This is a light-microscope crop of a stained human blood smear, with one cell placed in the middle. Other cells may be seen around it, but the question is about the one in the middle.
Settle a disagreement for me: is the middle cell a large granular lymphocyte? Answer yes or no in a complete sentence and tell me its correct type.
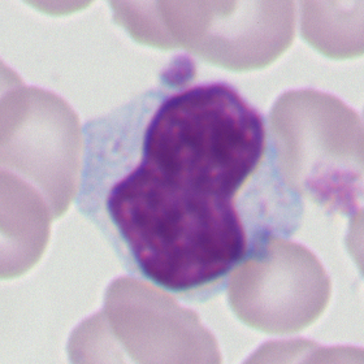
Yes, the middle cell is properly termed a large granular lymphocyte.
